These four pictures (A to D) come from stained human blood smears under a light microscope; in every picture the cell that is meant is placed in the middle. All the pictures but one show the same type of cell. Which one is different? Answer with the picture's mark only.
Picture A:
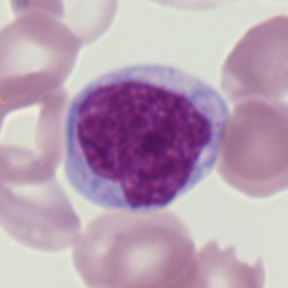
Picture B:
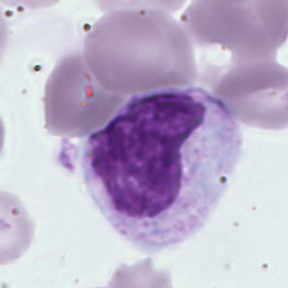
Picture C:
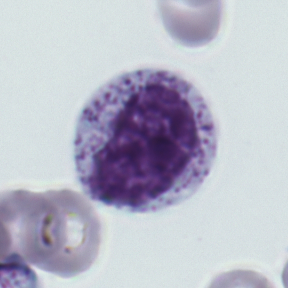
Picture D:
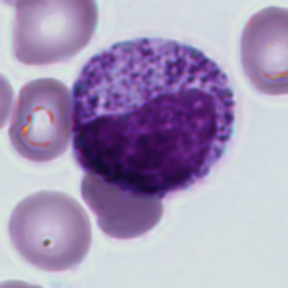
A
